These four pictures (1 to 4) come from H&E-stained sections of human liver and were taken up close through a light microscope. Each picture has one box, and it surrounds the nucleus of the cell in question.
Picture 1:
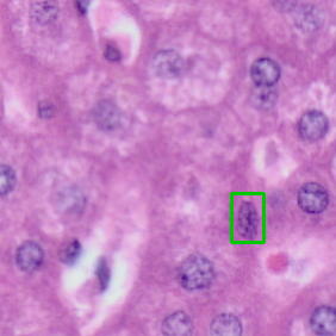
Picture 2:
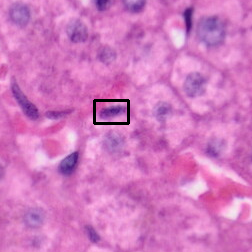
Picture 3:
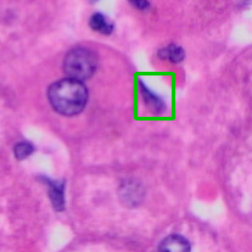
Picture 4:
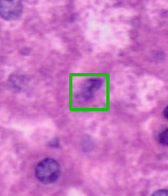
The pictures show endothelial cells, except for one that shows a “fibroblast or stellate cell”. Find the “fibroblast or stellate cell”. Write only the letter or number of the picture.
1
